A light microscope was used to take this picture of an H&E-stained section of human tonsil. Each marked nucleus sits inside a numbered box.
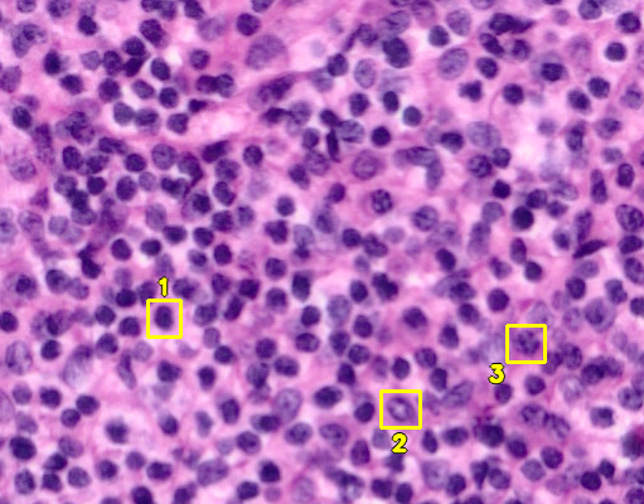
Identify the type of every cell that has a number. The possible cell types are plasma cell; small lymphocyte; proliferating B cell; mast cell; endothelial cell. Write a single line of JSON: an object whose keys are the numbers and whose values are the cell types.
{"1": "small lymphocyte", "2": "plasma cell", "3": "plasma cell"}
